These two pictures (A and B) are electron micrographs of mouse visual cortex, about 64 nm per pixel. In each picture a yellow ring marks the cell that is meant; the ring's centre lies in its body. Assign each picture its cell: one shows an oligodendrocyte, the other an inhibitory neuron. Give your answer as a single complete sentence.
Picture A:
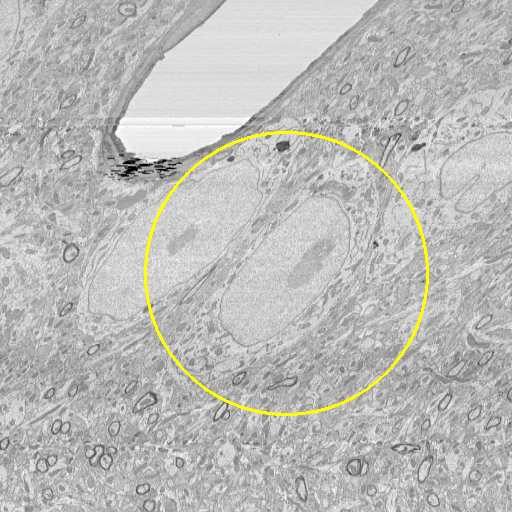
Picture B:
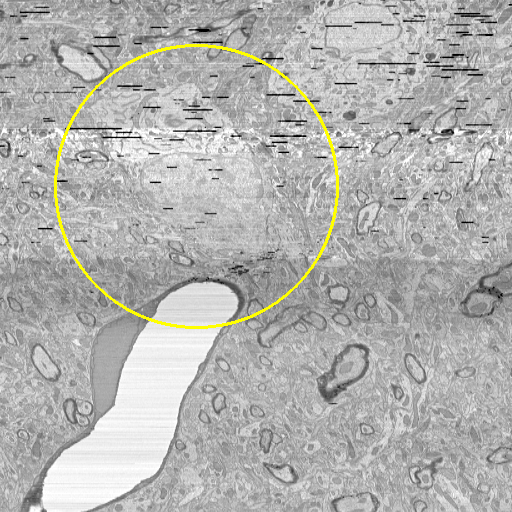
The cell in picture A is an inhibitory neuron, and the one in picture B is an oligodendrocyte.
